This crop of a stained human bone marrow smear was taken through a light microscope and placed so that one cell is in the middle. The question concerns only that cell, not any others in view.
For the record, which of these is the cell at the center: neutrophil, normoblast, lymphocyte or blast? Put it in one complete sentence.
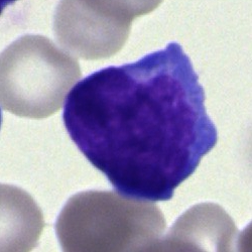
The central element of this crop is a cell, namely a blast.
